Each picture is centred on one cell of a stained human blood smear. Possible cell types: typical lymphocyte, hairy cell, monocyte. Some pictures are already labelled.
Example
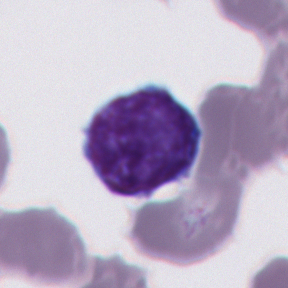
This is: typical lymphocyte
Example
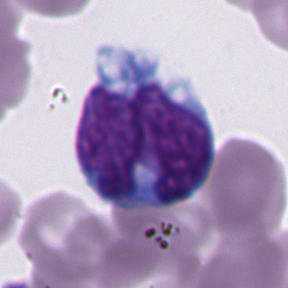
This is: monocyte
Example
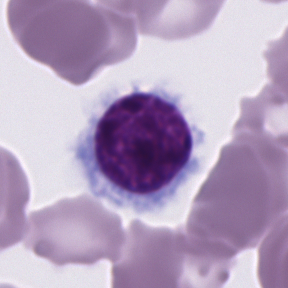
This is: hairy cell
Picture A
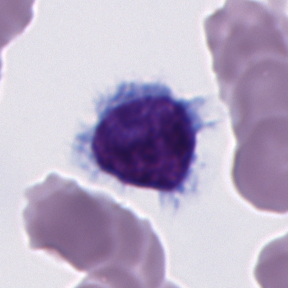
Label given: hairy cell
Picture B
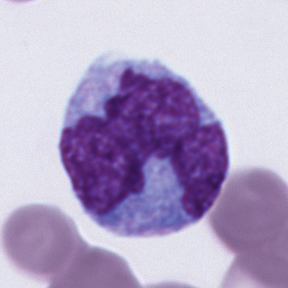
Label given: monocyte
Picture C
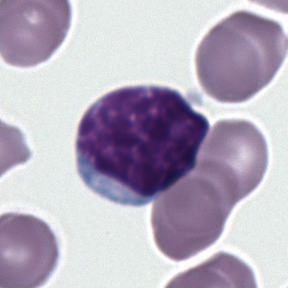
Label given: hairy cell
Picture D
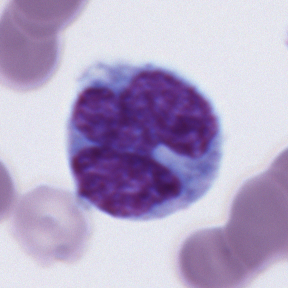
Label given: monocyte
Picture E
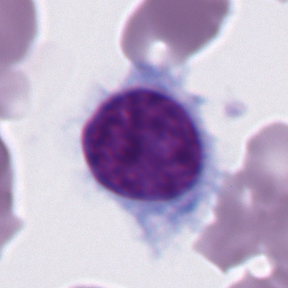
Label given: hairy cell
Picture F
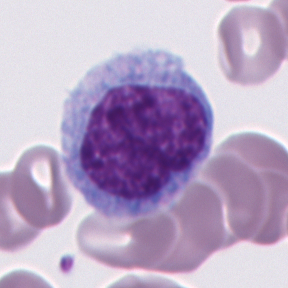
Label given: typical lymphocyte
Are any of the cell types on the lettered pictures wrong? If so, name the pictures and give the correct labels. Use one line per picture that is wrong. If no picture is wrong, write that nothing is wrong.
C: change hairy cell to typical lymphocyte
F: change typical lymphocyte to monocyte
